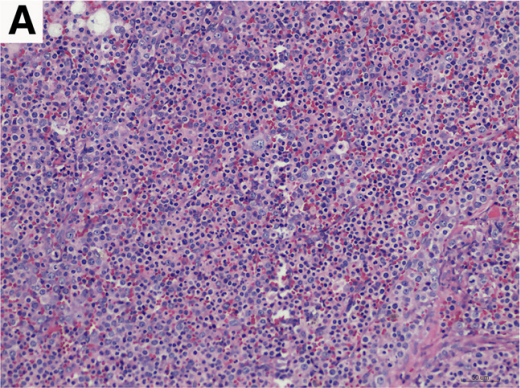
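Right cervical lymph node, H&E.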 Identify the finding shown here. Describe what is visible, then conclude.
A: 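No normal nodal architecture such as follicles is visible. Cells are spread diffusely across the field.
Conclusion: effacement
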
